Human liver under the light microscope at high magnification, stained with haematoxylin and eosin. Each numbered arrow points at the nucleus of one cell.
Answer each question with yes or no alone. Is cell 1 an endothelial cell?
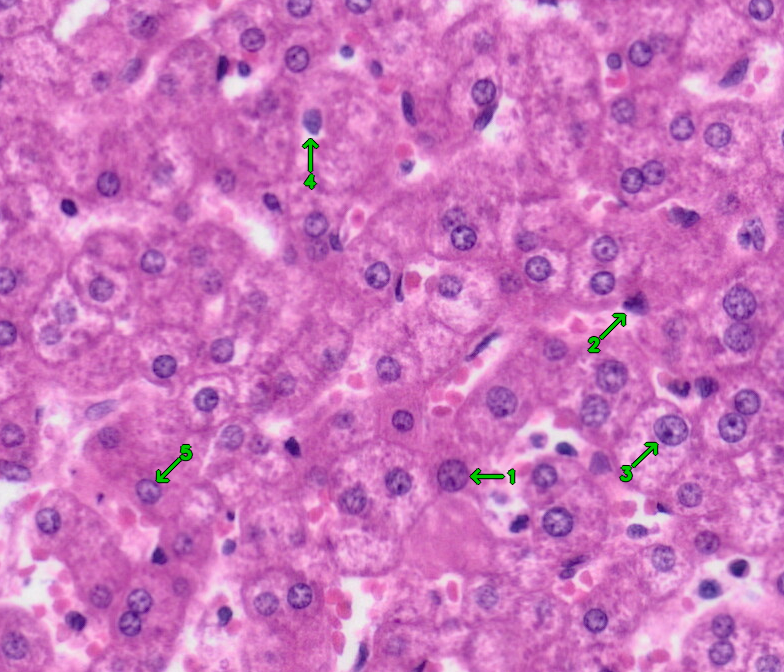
no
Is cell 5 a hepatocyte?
yes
